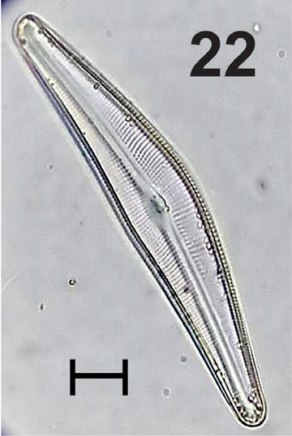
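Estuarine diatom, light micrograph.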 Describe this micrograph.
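The valve is long and lanceolate but asymmetric, with one margin strongly arched and the other nearly straight, and the ends taper to narrow rounded tips. A raphe runs along the length of the valve, interrupted at a small central area, and fine parallel striae cross the valve on either side of it.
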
